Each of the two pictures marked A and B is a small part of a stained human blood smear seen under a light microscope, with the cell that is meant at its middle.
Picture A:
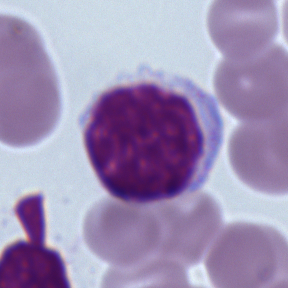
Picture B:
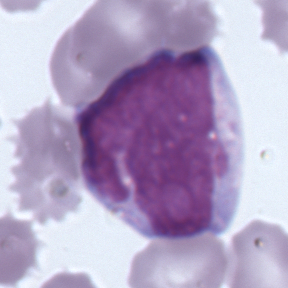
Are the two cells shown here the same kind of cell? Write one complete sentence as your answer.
No; the cell in picture A is a large granular lymphocyte, while the one in picture B is a myeloblast.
